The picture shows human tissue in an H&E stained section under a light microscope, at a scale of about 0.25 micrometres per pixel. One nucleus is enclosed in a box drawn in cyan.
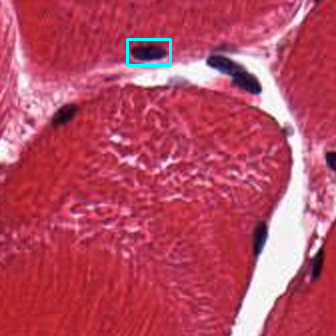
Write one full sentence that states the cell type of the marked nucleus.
It is a skeletal muscle fibre whose nucleus is marked.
